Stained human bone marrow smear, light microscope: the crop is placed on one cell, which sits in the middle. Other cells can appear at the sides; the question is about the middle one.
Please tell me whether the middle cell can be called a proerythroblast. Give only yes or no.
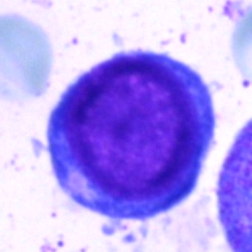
yes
